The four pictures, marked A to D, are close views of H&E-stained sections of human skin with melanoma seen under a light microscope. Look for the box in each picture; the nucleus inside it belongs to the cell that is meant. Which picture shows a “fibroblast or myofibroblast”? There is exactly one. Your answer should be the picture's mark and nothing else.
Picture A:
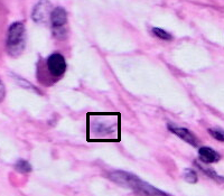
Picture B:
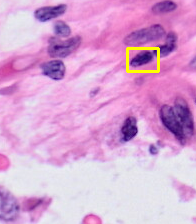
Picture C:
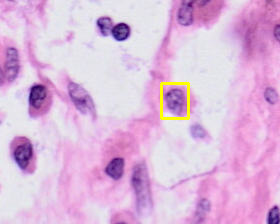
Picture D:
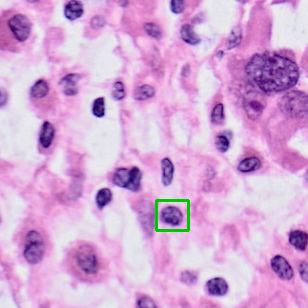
A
